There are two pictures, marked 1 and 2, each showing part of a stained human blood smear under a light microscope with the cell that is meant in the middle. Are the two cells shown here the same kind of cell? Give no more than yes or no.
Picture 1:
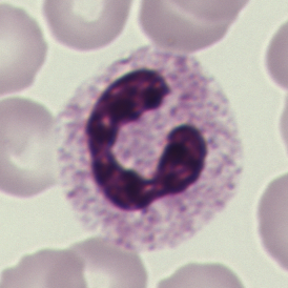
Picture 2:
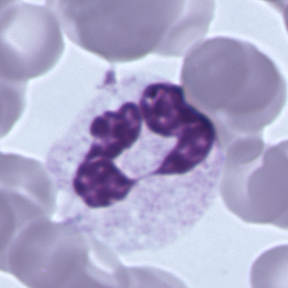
yes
